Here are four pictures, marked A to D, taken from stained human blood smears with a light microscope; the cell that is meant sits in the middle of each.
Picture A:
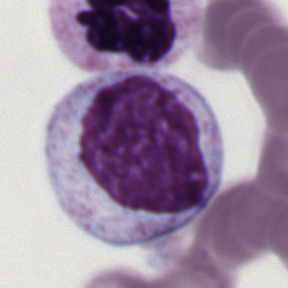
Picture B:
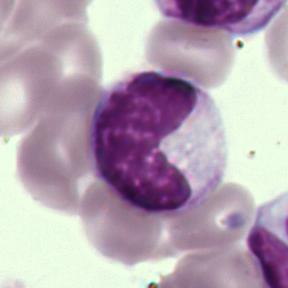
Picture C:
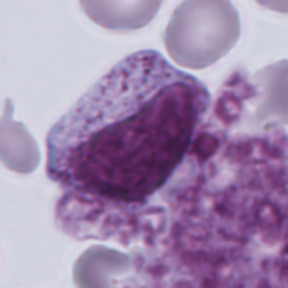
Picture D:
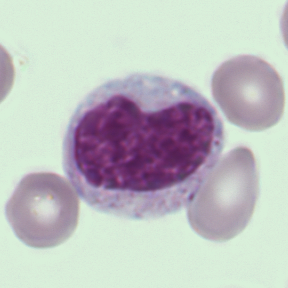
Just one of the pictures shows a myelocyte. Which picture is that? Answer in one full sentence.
Picture A is the one that shows the myelocyte.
